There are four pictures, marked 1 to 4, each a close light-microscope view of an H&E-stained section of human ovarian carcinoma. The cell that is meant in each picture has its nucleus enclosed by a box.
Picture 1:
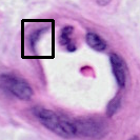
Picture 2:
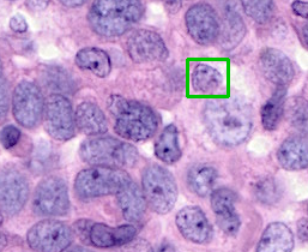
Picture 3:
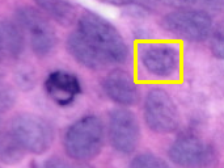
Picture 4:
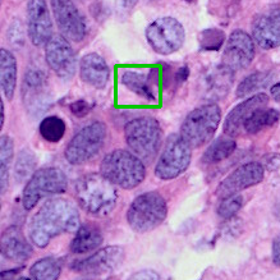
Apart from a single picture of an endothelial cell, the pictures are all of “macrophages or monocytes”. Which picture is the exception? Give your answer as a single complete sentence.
The picture with the endothelial cell is 1.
